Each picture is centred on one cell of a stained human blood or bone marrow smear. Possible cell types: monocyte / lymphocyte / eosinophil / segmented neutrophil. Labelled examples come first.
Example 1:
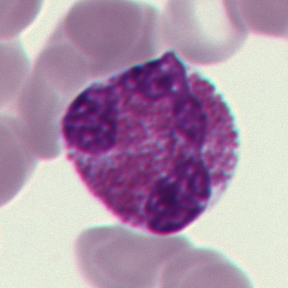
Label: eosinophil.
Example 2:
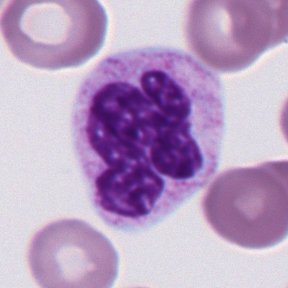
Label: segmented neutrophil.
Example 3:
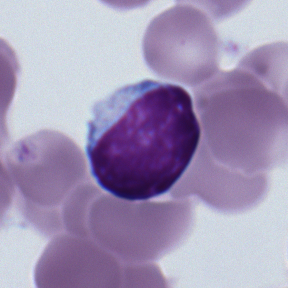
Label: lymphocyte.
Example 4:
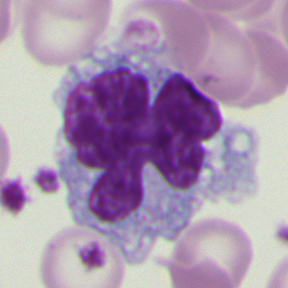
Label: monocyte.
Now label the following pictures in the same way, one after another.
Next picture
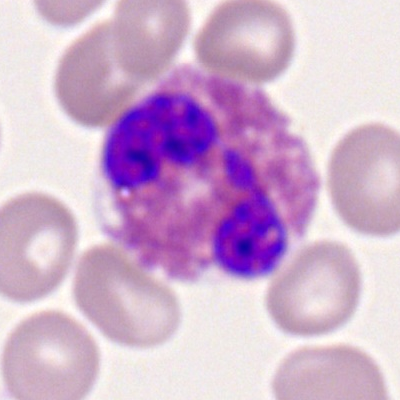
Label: eosinophil.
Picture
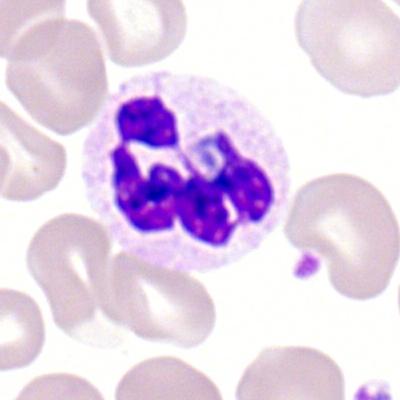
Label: segmented neutrophil.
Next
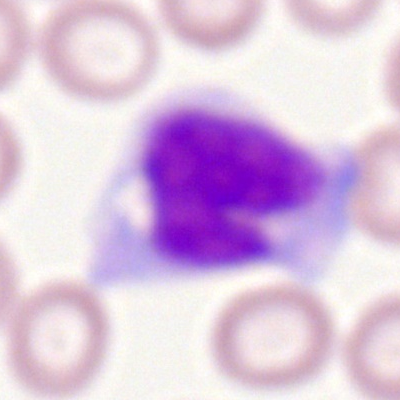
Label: monocyte.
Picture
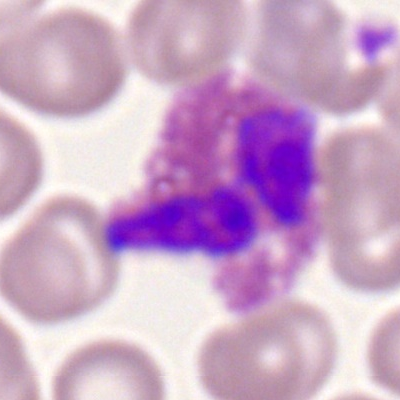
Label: eosinophil.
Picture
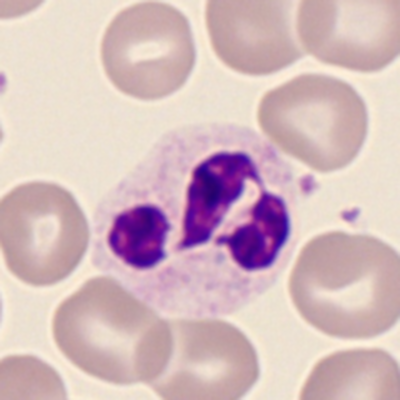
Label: segmented neutrophil.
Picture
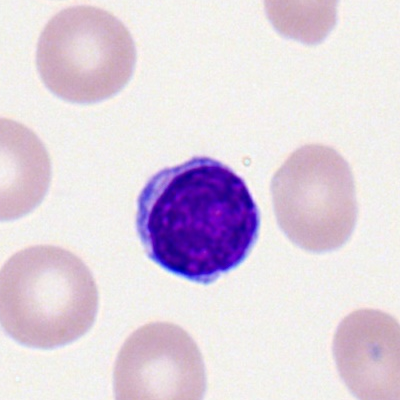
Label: lymphocyte.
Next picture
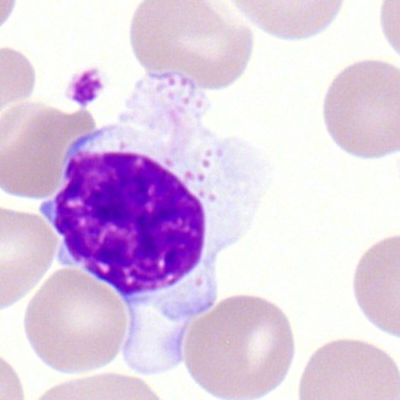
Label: lymphocyte.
